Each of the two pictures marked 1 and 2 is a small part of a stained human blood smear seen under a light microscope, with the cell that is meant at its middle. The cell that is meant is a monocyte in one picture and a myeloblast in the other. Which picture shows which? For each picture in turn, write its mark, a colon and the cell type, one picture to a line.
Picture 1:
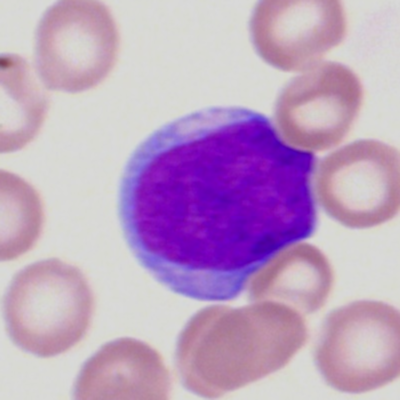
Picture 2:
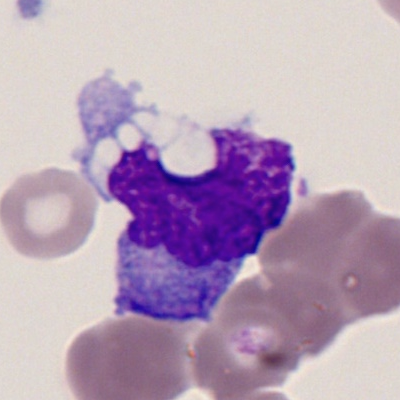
1: myeloblast
2: monocyte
